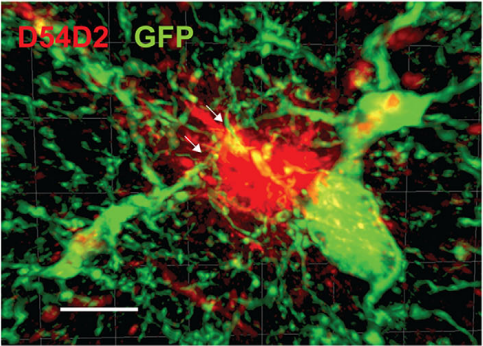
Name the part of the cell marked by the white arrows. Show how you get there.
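Two green cells with branches flank a central red patch. The arrows point at thin green branches crossing into the red patch.
Hence: processes.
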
